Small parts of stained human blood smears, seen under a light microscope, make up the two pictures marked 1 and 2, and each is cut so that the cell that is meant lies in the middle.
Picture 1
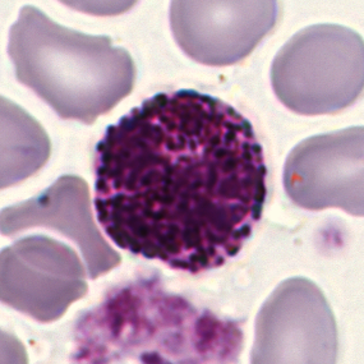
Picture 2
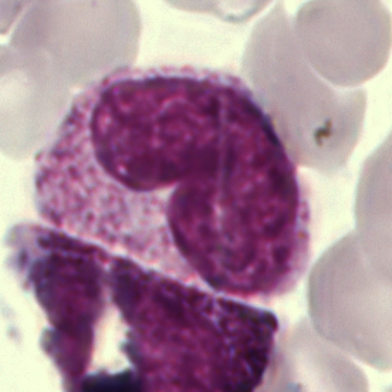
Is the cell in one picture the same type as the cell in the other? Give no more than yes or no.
no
